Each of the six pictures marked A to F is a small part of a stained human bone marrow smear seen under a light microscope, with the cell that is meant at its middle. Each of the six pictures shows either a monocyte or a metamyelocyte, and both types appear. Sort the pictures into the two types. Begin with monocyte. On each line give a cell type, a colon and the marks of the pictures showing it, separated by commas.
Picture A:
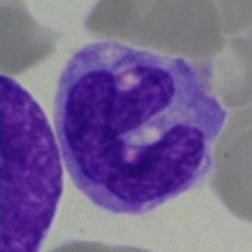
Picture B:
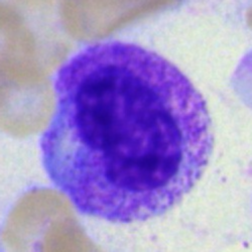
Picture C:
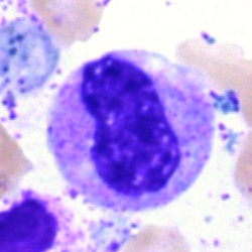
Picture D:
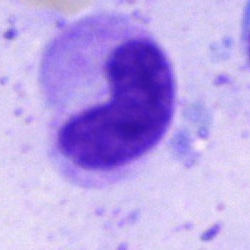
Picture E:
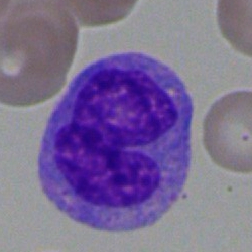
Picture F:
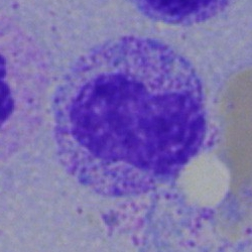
monocyte: A, E
metamyelocyte: B, C, D, F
